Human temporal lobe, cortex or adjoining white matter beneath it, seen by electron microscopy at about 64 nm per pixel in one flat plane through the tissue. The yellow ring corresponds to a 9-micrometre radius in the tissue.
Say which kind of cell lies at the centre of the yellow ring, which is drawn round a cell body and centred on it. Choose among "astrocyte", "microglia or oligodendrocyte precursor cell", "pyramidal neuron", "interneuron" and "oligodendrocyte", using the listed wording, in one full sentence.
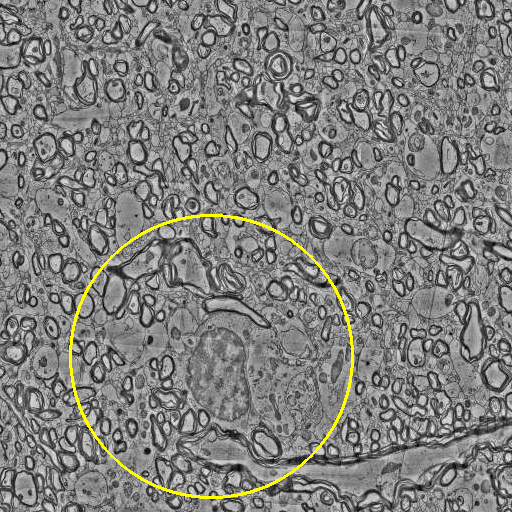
Going by the list, the cell at the yellow ring's centre is an oligodendrocyte.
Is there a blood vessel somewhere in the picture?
No, no blood vessel can be seen.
